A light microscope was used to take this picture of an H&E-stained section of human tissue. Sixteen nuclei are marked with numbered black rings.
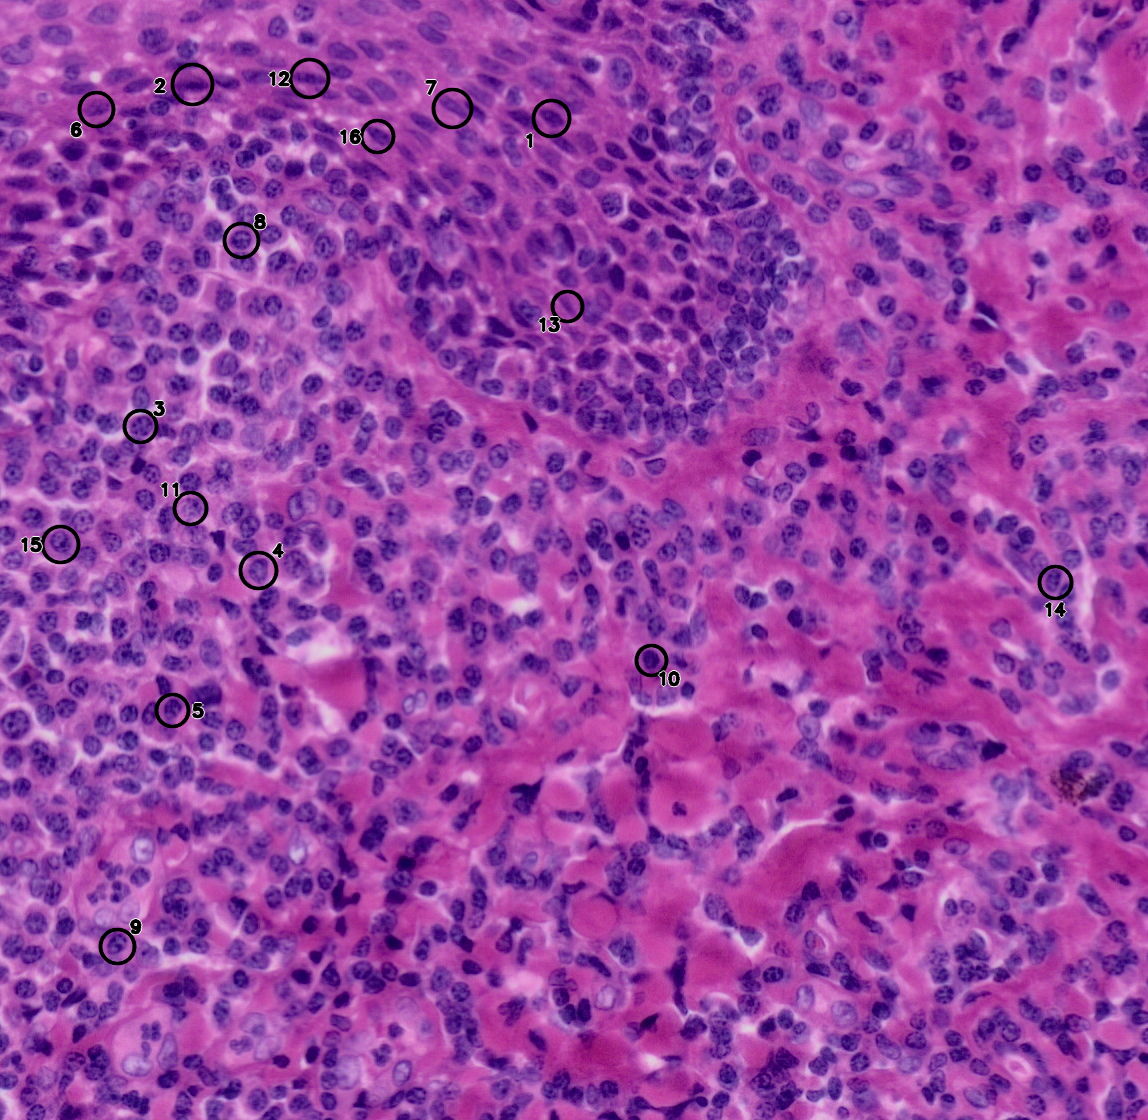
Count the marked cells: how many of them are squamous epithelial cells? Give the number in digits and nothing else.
7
